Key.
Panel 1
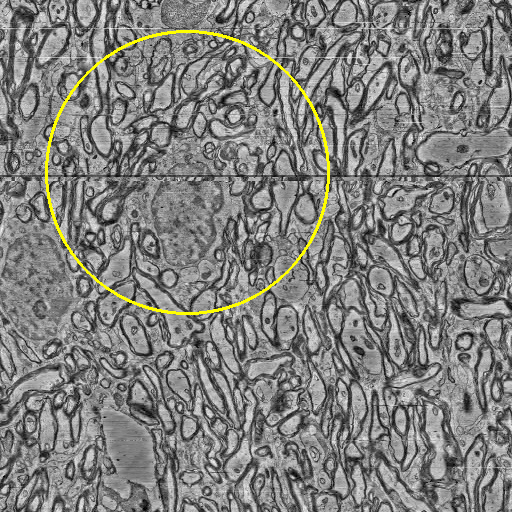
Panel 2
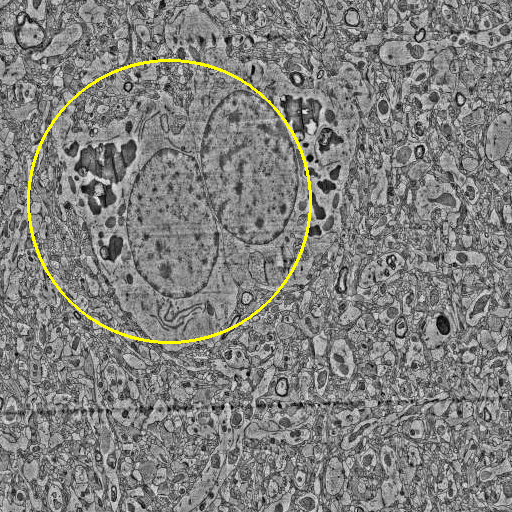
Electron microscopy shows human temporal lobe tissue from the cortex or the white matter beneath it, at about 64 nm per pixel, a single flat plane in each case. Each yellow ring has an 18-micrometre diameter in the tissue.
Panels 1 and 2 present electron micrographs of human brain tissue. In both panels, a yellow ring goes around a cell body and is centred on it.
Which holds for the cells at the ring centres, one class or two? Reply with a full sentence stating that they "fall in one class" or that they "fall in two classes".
Taken together, the ring-centre cells of the two panels fall in two classes.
